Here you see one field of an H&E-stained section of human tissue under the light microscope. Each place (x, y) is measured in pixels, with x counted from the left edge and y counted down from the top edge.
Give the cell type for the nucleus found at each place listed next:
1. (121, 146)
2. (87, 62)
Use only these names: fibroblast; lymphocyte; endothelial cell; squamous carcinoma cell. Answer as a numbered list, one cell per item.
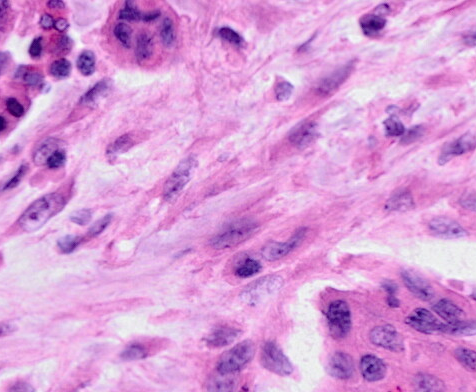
1. fibroblast
2. lymphocyte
